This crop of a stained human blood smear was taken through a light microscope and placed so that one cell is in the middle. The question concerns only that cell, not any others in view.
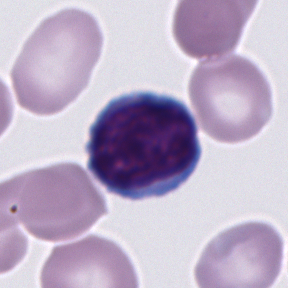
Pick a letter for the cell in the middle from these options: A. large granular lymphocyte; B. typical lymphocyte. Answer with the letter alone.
B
